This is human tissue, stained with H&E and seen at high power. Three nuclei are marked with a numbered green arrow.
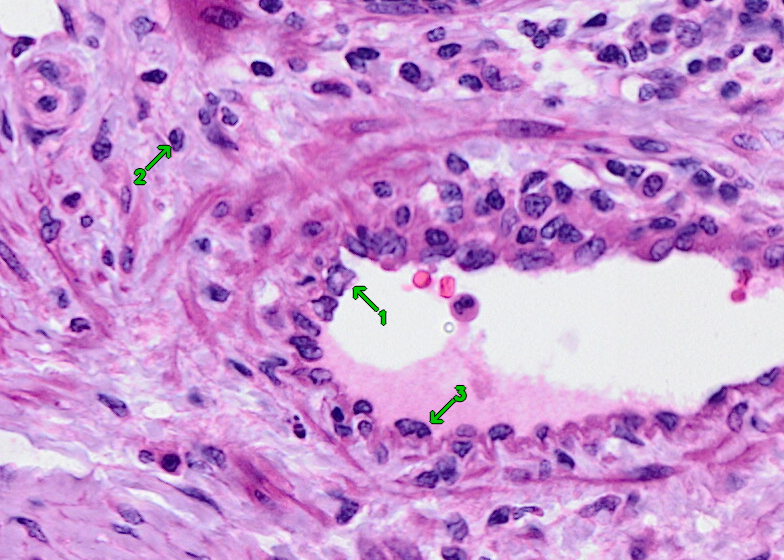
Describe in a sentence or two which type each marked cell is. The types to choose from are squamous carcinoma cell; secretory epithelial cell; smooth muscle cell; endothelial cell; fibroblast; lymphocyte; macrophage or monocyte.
Cells 1 and 3 are endothelial cells. Cell 2 is a lymphocyte.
